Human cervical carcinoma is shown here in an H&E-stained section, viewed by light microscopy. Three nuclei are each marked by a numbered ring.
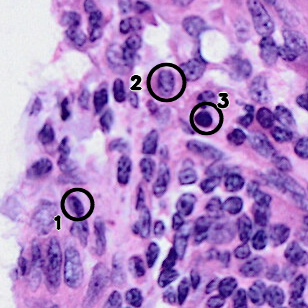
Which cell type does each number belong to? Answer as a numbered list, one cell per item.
1. lymphocyte
2. macrophage or monocyte
3. lymphocyte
